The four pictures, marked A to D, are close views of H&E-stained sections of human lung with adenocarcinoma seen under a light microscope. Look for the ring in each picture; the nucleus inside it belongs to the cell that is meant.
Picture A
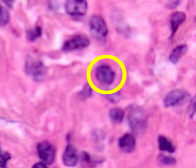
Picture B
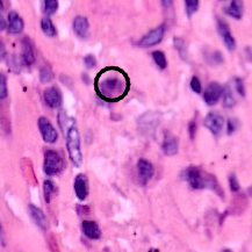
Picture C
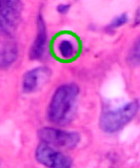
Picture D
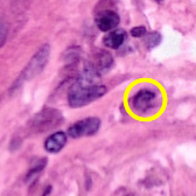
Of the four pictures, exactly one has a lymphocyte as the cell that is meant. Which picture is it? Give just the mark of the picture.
C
